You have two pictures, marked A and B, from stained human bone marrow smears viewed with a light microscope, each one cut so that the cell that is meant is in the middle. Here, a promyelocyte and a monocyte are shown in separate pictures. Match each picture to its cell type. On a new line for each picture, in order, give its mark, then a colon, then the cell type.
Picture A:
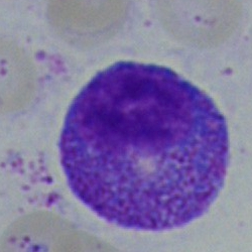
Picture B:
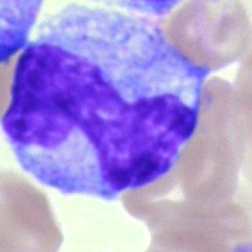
A: promyelocyte
B: monocyte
